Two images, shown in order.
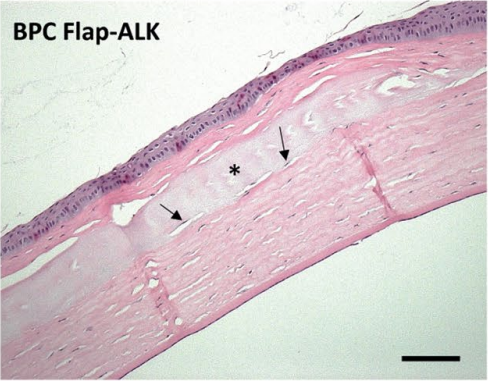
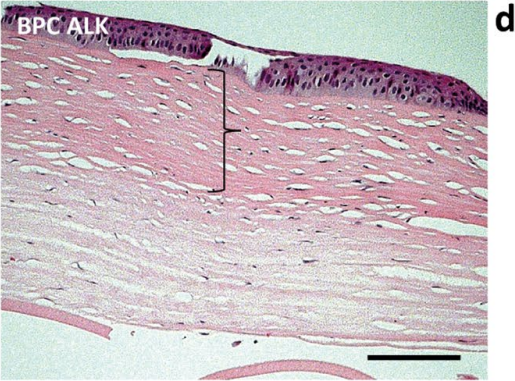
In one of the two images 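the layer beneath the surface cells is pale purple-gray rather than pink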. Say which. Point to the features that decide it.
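First image: a broad band under the surface layer has a pale grayish-lilac tint distinct from the pink stroma below. Second image: the band under the surface layer stains deep pink like or stronger than the stroma below.
Hence: the first image.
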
